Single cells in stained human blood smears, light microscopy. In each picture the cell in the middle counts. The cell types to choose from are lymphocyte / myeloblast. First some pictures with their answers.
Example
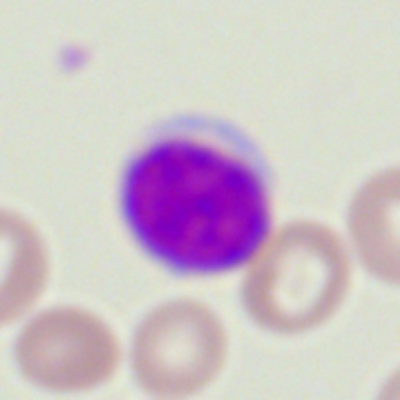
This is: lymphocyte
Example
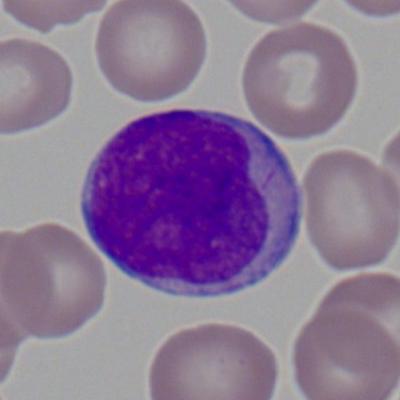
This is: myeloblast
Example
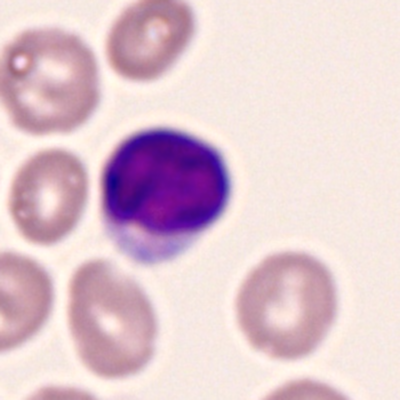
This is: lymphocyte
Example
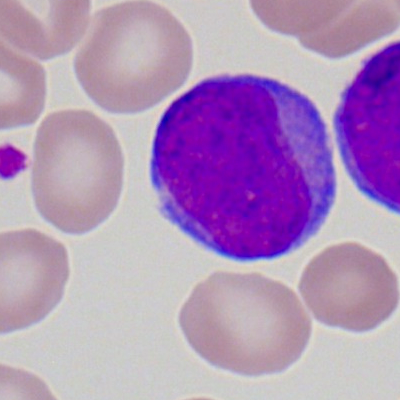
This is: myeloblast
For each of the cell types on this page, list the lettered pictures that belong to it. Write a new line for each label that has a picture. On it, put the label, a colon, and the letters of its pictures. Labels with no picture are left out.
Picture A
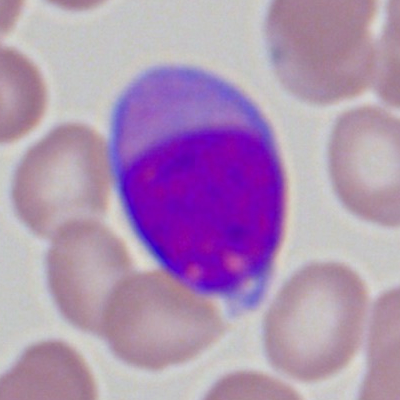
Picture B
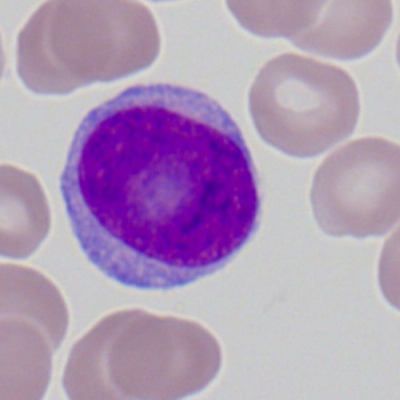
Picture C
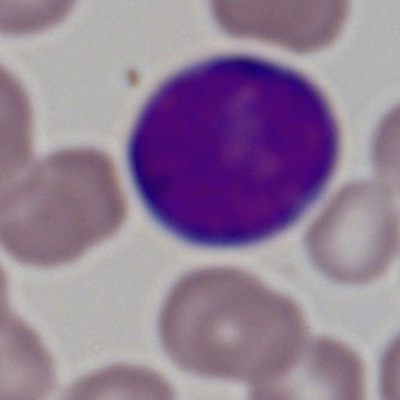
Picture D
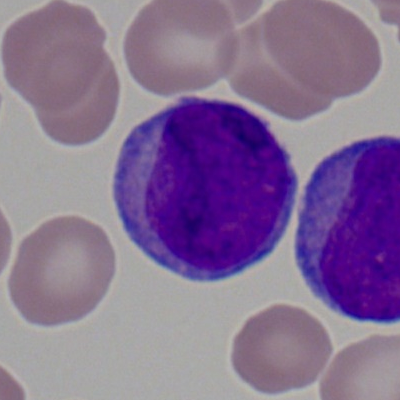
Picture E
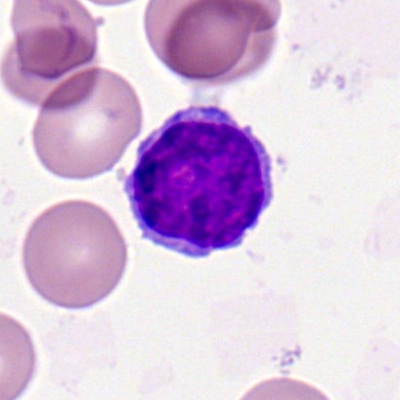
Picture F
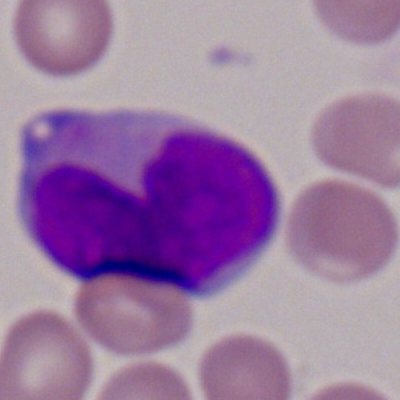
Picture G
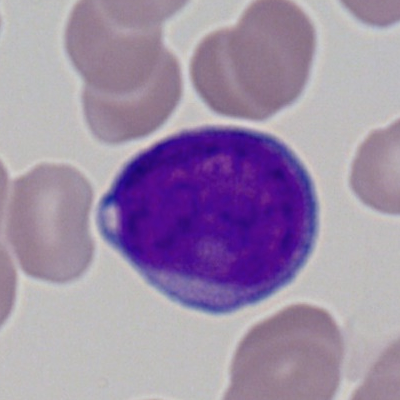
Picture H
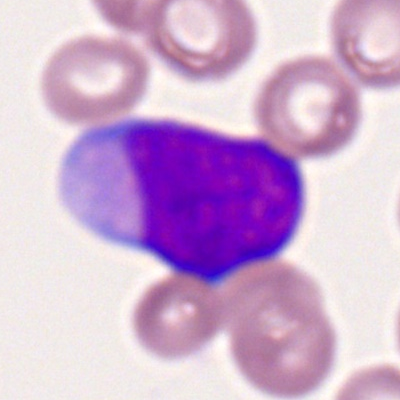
lymphocyte: E
myeloblast: A, B, C, D, F, G, H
